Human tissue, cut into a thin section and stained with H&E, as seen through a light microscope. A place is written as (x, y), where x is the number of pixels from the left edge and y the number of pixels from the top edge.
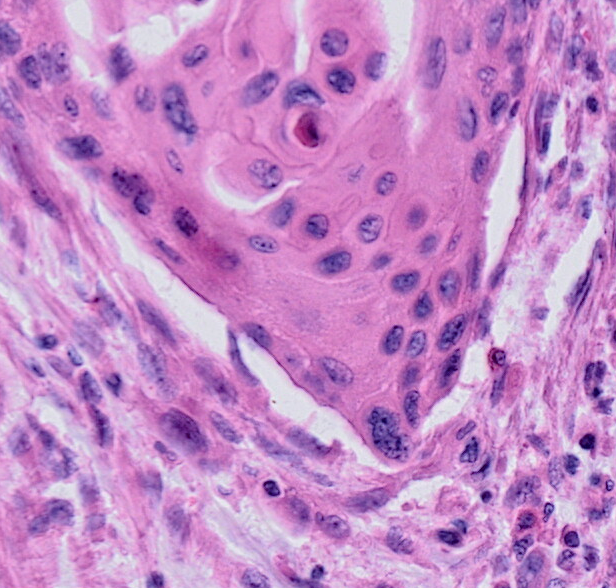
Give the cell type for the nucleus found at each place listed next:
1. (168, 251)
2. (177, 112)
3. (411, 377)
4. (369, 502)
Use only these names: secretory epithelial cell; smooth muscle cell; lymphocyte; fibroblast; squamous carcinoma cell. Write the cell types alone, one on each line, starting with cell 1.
squamous carcinoma cell
squamous carcinoma cell
squamous carcinoma cell
fibroblast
